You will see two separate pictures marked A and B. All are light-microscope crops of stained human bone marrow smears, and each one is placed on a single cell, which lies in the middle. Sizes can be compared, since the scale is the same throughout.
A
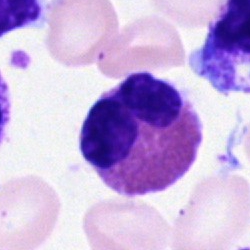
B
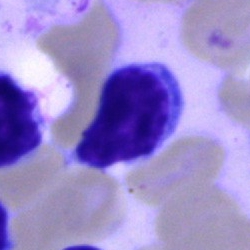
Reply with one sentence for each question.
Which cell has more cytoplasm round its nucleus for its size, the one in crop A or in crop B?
The nucleus fills less of the cell in crop A than in crop B.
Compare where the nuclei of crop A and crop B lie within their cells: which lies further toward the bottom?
The nucleus in crop B lies further toward the bottom of its cell.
